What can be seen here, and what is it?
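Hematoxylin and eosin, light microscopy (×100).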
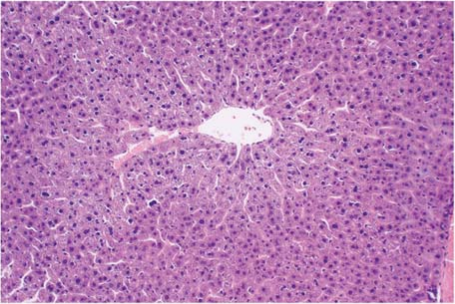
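This is liver parenchyma seen at low magnification, with a central vein near the middle containing a few red blood cells. Hepatocytes are polygonal cells with pink, finely granular cytoplasm and round, centrally placed blue-purple nuclei. They are arranged in plates or cords that run outward from the vein, with narrow pale sinusoidal spaces between the plates. The cords are orderly and the staining is fairly even across the field. No clusters of inflammatory cells, clearing of cytoplasm or loss of nuclei are evident.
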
